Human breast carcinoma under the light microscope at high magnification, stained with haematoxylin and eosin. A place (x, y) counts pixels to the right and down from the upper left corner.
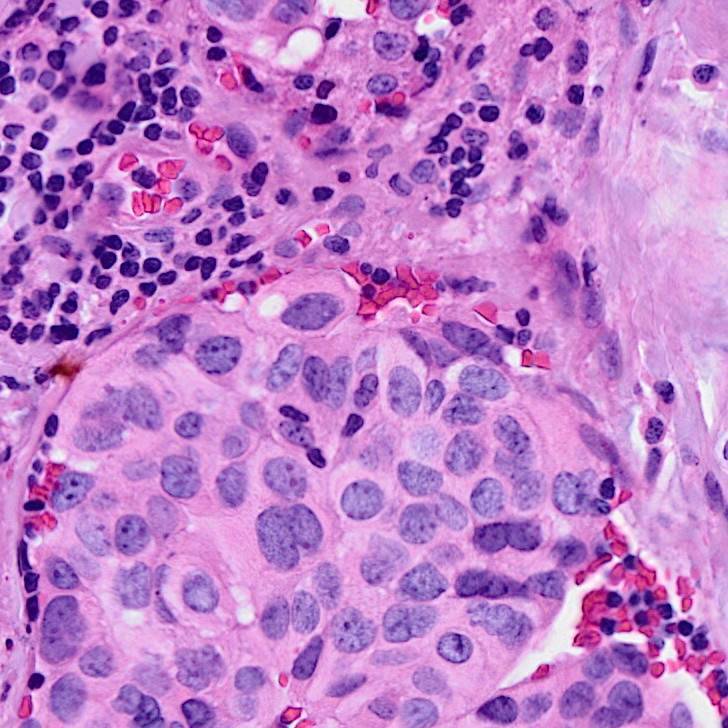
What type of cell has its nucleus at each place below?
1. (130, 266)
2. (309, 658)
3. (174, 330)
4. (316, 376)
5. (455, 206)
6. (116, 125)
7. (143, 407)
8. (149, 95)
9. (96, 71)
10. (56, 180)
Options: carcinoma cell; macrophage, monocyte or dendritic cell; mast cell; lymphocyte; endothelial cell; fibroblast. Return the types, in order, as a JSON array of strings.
["lymphocyte", "carcinoma cell", "carcinoma cell", "carcinoma cell", "lymphocyte", "lymphocyte", "carcinoma cell", "lymphocyte", "lymphocyte", "lymphocyte"]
